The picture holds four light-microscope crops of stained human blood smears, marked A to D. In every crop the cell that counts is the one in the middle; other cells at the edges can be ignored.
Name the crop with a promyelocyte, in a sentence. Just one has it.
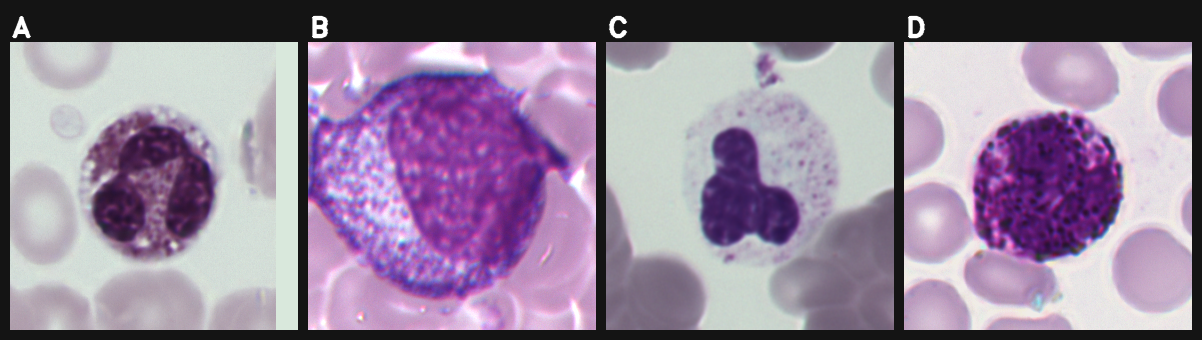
Crop B is the crop featuring a promyelocyte at its center.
